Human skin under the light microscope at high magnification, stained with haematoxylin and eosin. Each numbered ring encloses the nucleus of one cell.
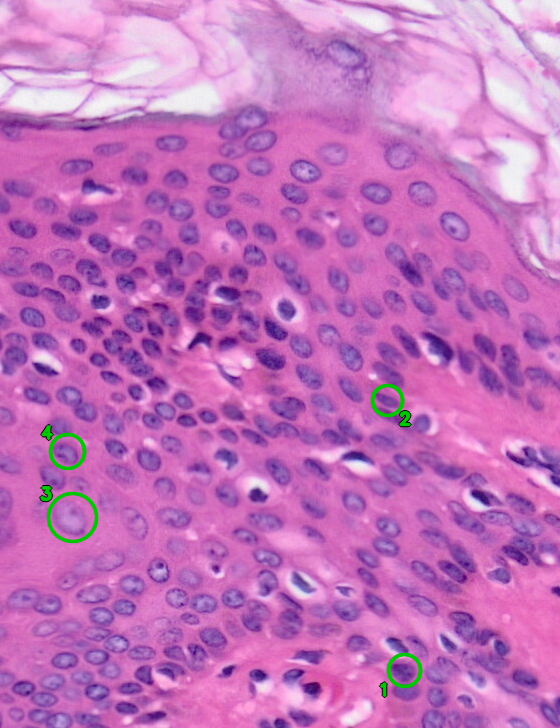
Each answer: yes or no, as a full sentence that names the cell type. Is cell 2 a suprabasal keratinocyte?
No, number 2 identifies a basal keratinocyte, not a suprabasal keratinocyte.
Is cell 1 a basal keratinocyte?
Yes, the cell that bears the number 1 is a basal keratinocyte.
